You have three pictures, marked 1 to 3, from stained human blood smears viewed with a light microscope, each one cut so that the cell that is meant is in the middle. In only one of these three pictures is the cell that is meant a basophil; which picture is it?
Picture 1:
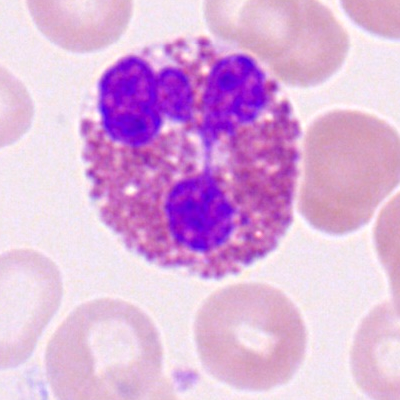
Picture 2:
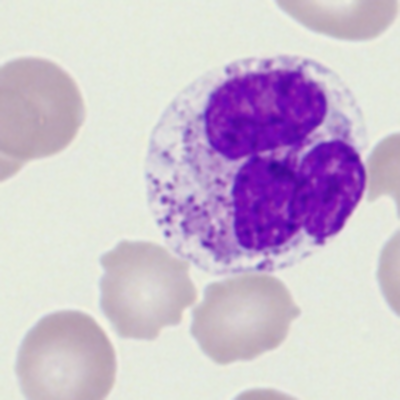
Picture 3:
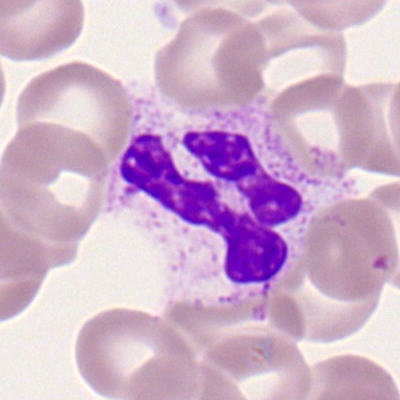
2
